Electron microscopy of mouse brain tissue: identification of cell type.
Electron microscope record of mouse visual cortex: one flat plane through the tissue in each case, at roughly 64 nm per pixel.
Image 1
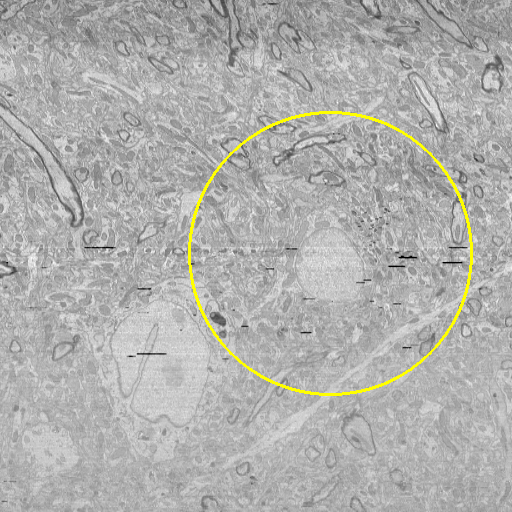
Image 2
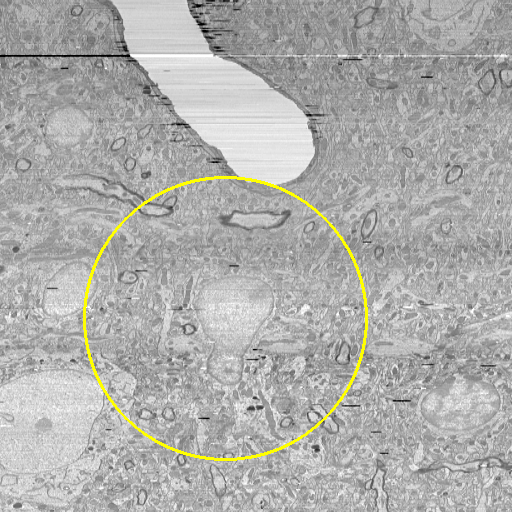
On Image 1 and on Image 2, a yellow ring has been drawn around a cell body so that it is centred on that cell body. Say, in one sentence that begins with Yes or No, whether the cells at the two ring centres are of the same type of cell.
Yes, both cells are the same type of cell.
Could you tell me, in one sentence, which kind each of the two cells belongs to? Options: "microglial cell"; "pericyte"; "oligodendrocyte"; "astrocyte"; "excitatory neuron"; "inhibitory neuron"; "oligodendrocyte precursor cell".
The cell in the first picture is an astrocyte, and so is the one in the second.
